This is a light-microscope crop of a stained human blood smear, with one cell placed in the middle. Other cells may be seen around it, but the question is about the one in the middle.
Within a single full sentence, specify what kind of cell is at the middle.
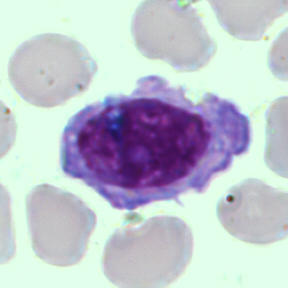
The centrally located cell in the crop is a plasma cell.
